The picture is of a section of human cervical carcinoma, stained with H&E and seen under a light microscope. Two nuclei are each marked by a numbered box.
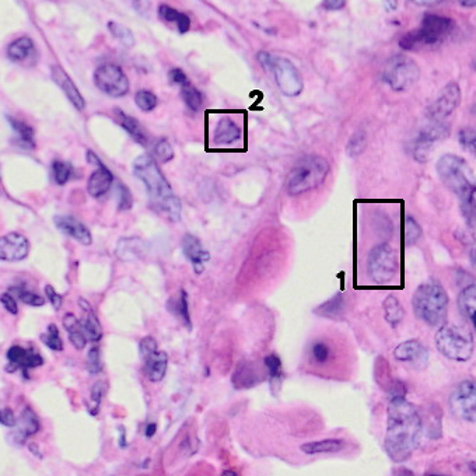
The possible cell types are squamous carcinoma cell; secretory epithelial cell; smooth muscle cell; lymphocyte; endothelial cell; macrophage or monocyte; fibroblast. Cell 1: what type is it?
squamous carcinoma cell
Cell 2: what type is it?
macrophage or monocyte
